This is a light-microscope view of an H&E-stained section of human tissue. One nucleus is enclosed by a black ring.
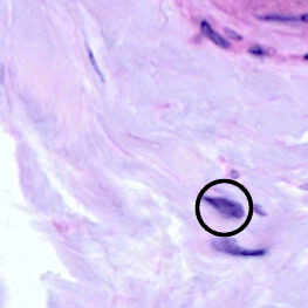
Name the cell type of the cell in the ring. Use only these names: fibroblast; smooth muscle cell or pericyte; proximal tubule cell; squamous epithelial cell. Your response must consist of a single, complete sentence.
As for its identity, the cell in the ring is a fibroblast.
